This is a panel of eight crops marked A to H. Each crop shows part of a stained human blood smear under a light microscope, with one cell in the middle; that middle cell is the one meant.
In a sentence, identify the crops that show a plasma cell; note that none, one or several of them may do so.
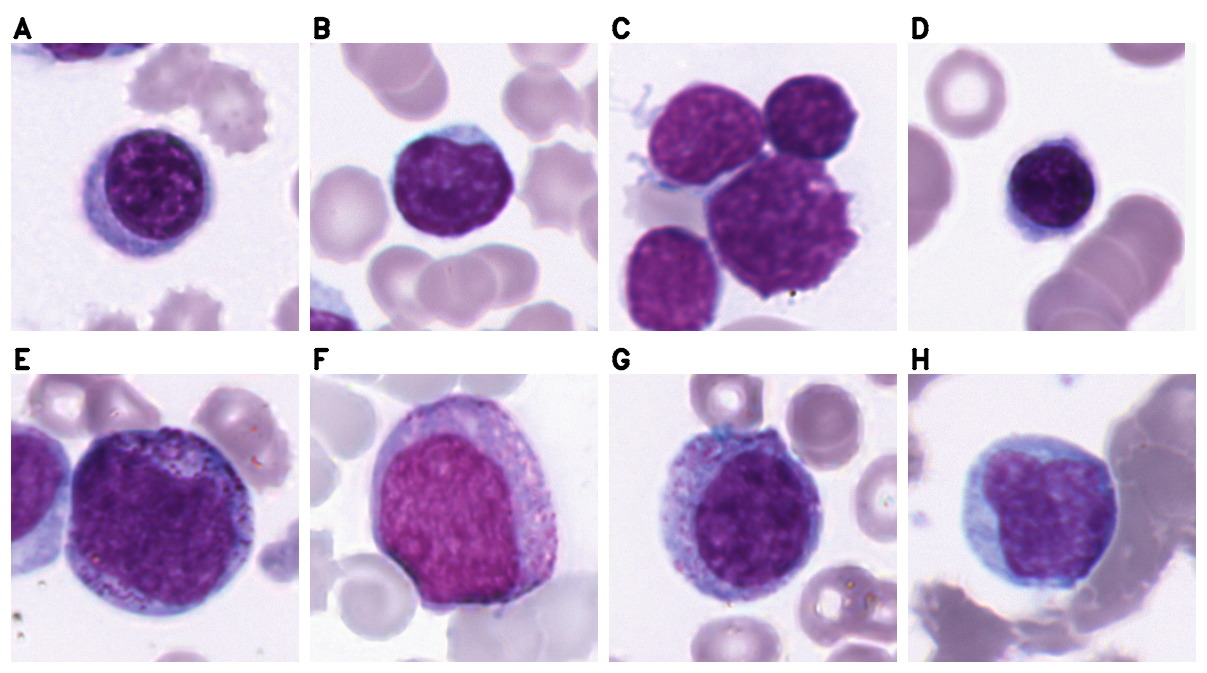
Crops A and D are recognised as showing plasma cells.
